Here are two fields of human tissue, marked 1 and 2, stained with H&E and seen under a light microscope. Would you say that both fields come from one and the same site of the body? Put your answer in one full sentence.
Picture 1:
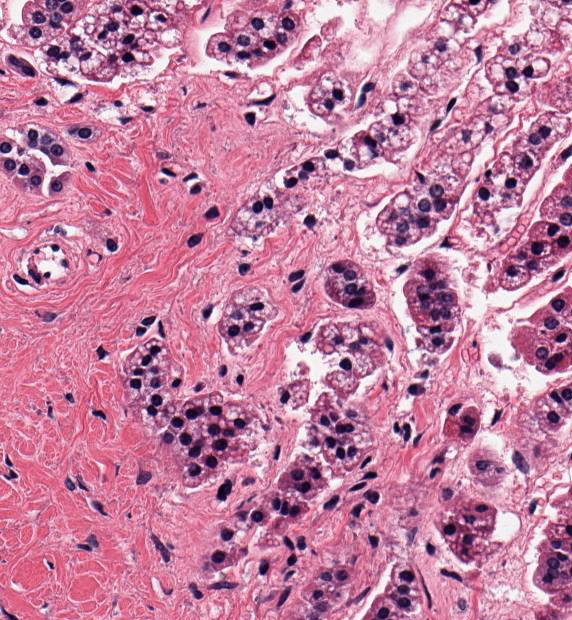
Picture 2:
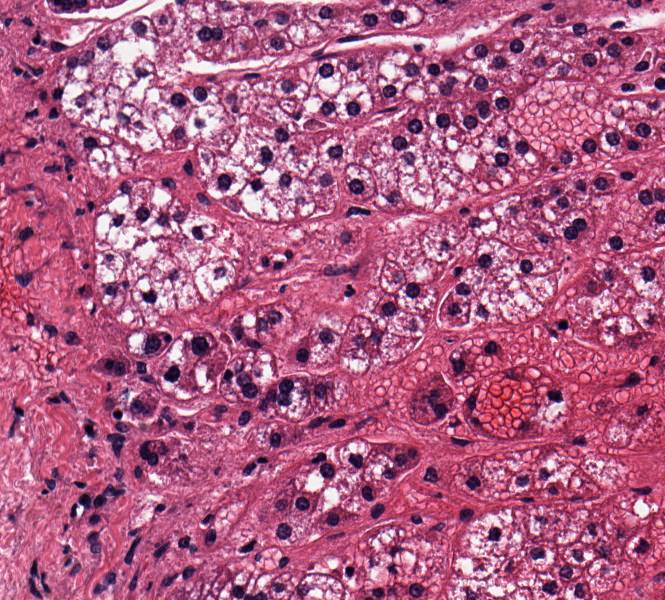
Yes; both pictures come from the adrenal gland.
